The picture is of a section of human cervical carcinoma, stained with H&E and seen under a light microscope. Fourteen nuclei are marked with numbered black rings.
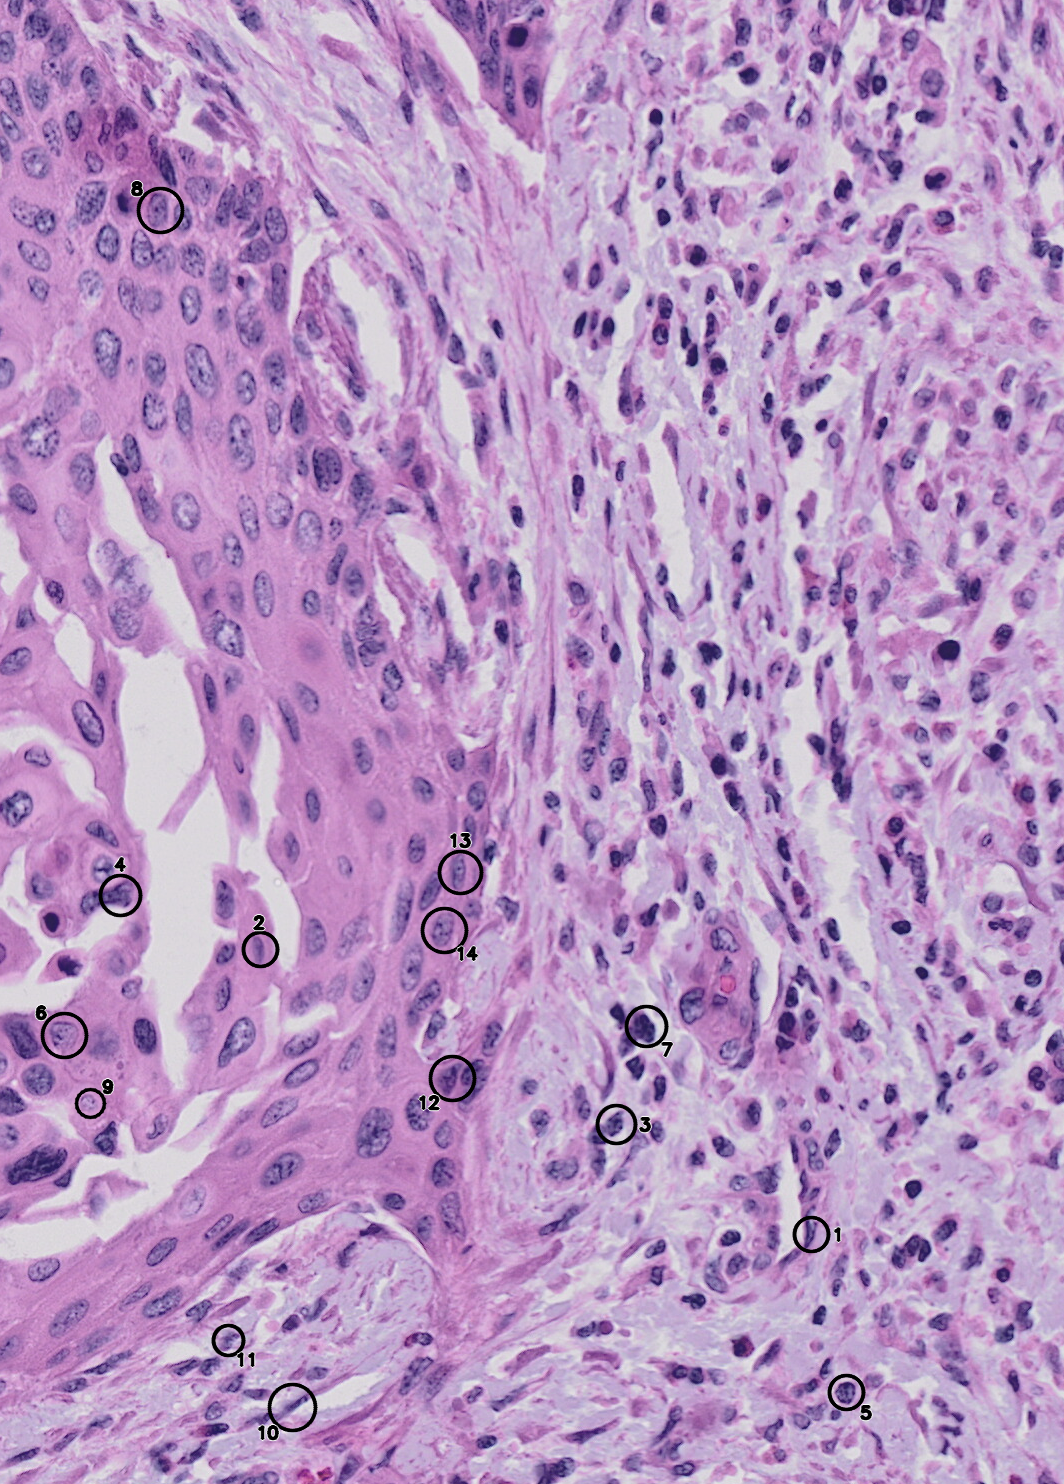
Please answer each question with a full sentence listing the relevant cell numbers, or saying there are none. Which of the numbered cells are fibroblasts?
When it comes to cells 10 and 11, they are fibroblasts.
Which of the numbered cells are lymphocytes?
The cells that have been numbered 3, 5 and 7 are lymphocytes.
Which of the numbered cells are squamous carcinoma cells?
Cells 2, 4, 6, 8, 9, 12, 13 and 14 are squamous carcinoma cells by cell type.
